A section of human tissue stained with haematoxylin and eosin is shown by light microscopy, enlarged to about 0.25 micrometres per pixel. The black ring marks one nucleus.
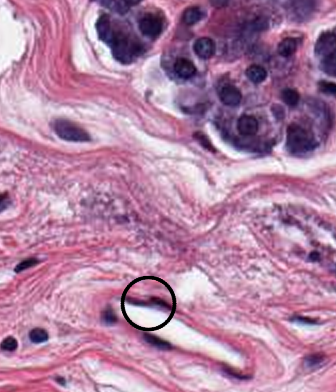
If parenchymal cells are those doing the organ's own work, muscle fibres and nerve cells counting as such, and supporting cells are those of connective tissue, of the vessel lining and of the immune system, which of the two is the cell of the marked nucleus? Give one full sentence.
It is in a supporting cell that the marked nucleus lies.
